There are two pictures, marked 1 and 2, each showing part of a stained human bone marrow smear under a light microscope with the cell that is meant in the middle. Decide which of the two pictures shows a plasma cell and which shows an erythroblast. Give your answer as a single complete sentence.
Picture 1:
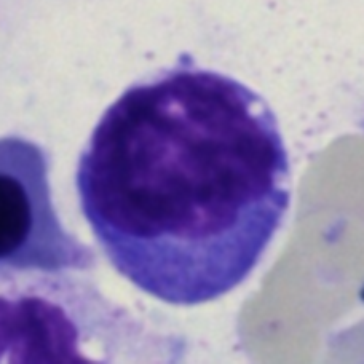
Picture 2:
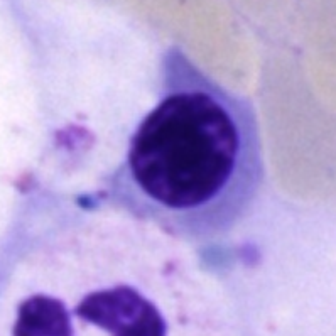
It is picture 1 that shows a plasma cell, and picture 2 that shows an erythroblast.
